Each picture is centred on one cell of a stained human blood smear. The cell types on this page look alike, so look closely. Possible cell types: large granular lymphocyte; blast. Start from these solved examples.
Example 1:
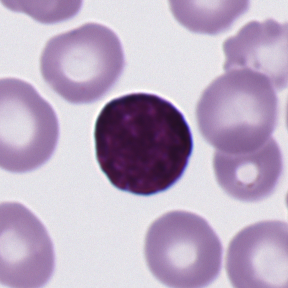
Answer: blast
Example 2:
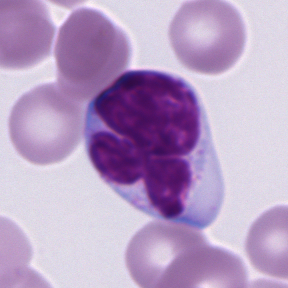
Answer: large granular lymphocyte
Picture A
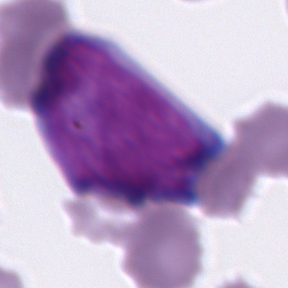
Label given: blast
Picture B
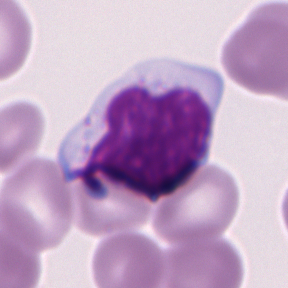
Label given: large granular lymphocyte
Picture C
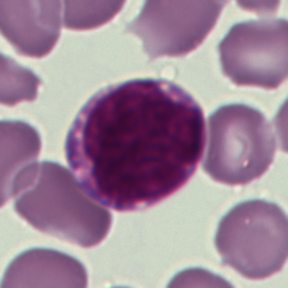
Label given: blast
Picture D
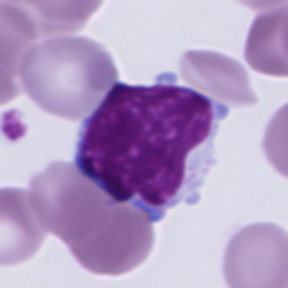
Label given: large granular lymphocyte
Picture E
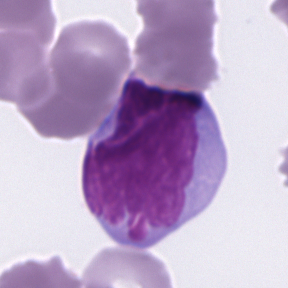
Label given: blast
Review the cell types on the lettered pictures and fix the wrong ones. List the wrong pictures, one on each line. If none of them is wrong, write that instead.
None of the labels needs changing.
